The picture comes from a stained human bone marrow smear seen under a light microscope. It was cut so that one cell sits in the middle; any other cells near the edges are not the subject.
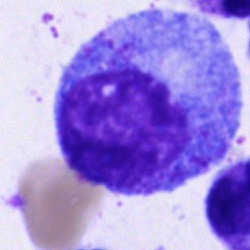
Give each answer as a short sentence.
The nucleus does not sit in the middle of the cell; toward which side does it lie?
Seen from the middle of the cell, the nucleus lies toward the lower left.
